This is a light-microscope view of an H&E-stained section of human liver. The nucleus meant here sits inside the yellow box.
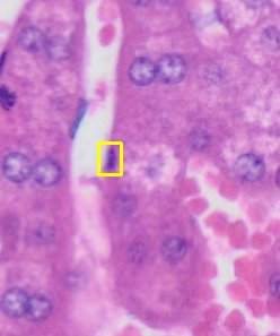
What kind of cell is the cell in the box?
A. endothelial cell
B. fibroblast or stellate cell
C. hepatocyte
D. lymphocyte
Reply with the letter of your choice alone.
B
